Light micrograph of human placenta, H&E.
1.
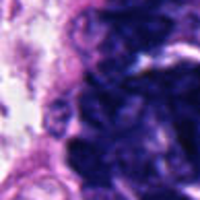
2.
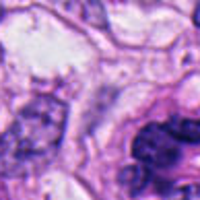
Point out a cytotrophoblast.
That is picture 2.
